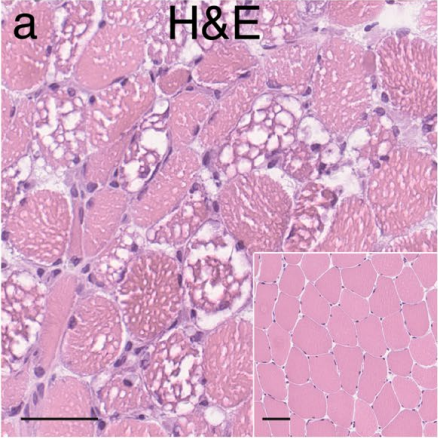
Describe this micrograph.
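Transverse section of skeletal muscle with polygonal fibers of varied size. Many fibers are riddled with multiple clear vacuoles, large and small, giving a lacy or bubbly pink cytoplasm; some fibers are almost filled with them, others show only fine slit-like spaces. Dark nuclei sit at the fiber edges and in the thin endomysium between fibers.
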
